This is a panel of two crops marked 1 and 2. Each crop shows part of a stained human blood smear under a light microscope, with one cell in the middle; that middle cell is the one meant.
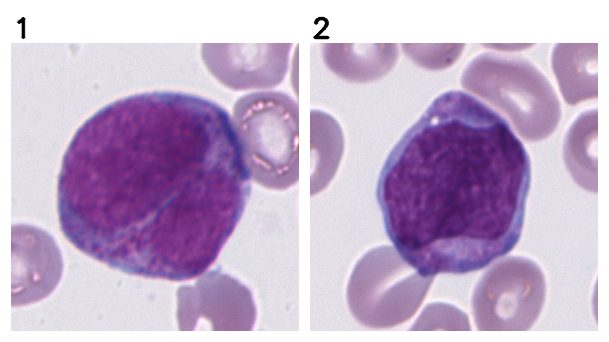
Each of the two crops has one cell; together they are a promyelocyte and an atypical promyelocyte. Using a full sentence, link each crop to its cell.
Crop 2 shows an atypical promyelocyte, and crop 1 shows a promyelocyte.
